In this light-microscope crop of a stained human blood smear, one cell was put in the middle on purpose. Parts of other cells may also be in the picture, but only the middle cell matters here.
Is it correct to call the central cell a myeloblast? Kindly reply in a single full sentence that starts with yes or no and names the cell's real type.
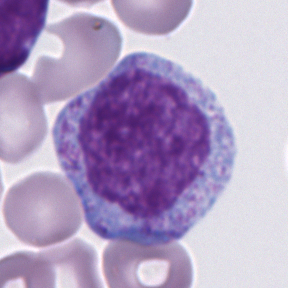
No, it is a promyelocyte and not a myeloblast that occupies the middle of the crop.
